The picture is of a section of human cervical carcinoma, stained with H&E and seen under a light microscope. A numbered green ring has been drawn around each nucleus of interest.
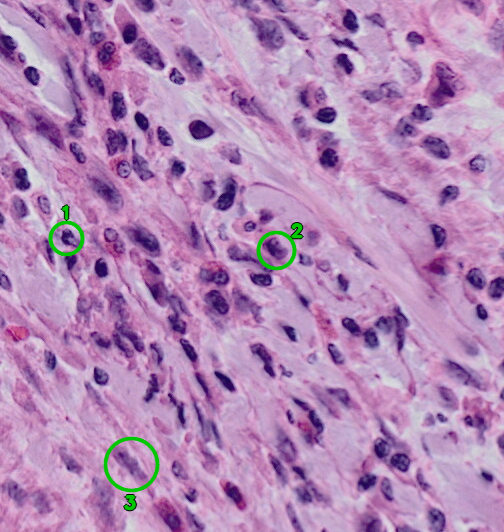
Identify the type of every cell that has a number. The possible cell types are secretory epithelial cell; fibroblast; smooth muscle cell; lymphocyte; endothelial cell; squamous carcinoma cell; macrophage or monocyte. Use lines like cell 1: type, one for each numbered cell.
cell 1: lymphocyte
cell 2: macrophage or monocyte
cell 3: fibroblast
